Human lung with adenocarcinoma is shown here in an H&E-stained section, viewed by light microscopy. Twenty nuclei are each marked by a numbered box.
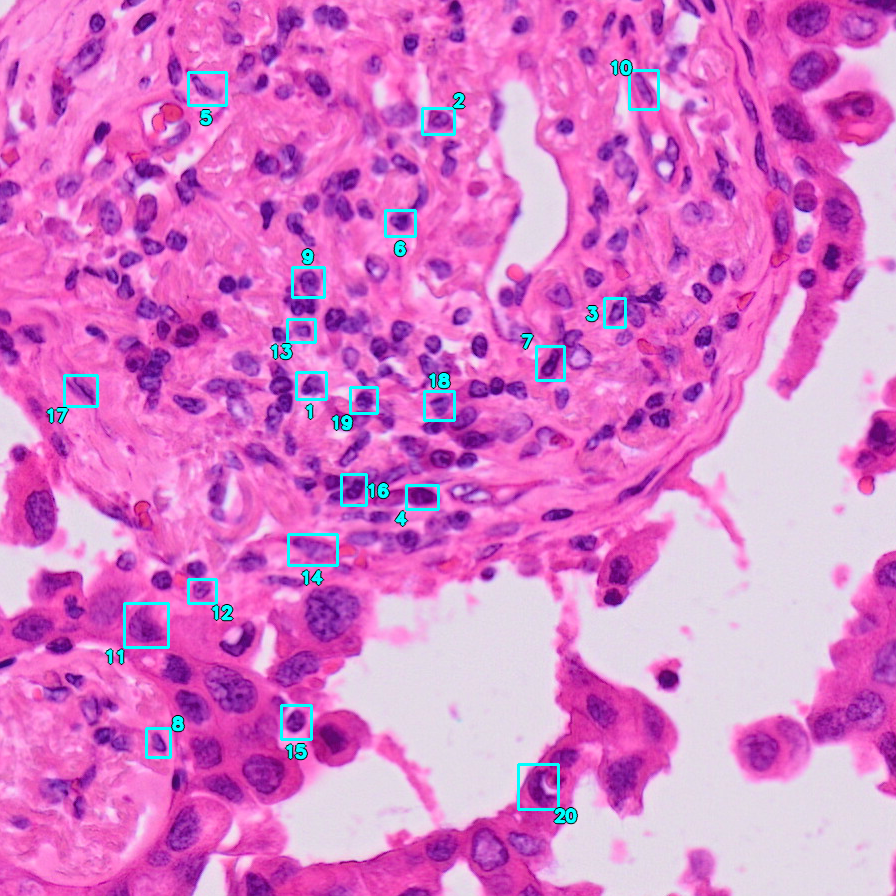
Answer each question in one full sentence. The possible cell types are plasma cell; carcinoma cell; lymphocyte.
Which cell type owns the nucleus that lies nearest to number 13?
Closest to number 13 lies the nucleus of a lymphocyte.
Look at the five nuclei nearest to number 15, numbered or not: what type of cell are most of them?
Carcinoma cells account for more than half of the five nuclei nearest to number 15.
